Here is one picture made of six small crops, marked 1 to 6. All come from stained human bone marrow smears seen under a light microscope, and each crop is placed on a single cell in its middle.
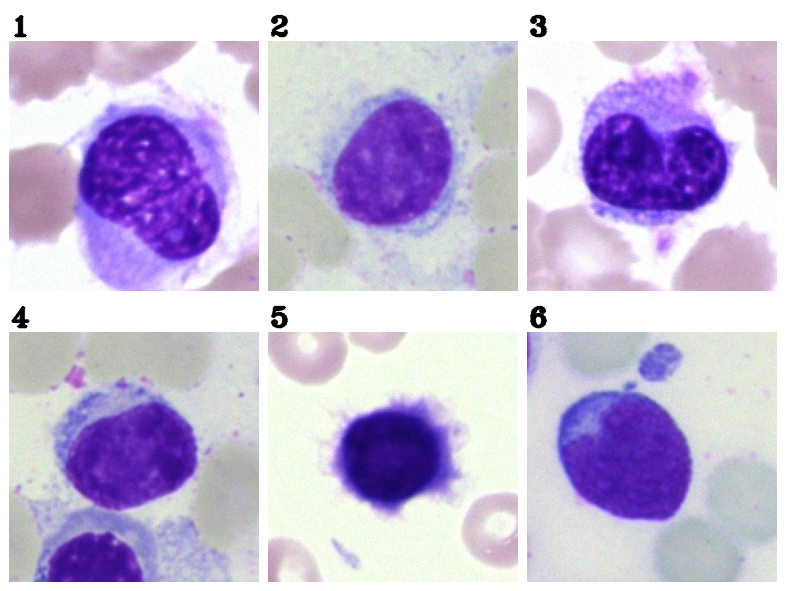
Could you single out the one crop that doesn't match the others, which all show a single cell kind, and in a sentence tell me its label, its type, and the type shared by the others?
Crop 6 is a blast, and the other crops all show hairy cells.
